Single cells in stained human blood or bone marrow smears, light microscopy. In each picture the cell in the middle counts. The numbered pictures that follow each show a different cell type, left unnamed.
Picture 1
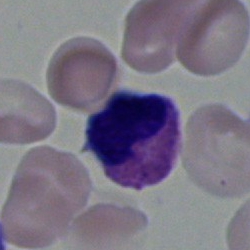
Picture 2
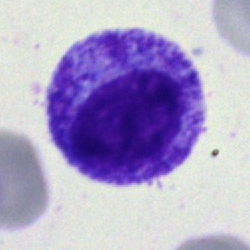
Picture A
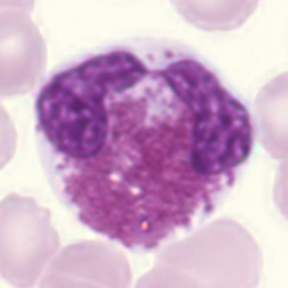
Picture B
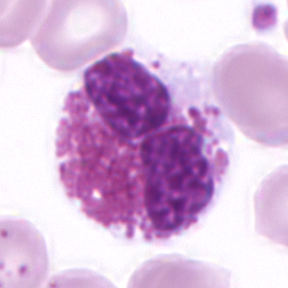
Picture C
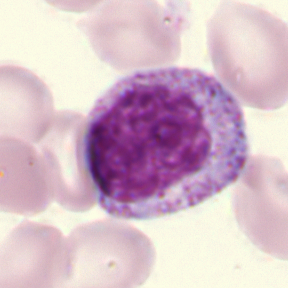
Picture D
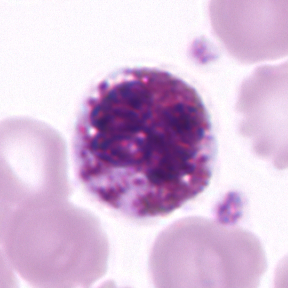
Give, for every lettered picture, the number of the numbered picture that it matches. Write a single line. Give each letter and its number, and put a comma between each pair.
A 1, B 1, C 2, D 1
